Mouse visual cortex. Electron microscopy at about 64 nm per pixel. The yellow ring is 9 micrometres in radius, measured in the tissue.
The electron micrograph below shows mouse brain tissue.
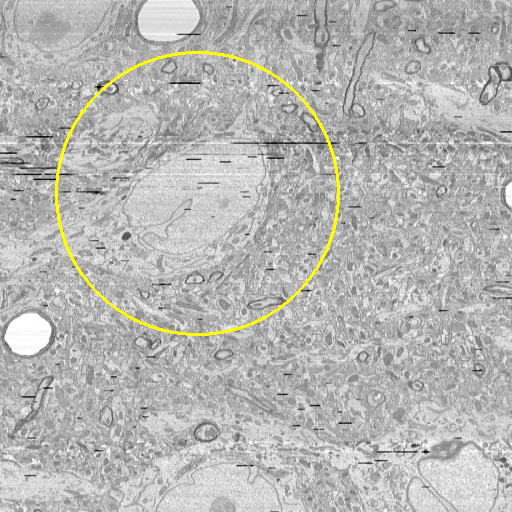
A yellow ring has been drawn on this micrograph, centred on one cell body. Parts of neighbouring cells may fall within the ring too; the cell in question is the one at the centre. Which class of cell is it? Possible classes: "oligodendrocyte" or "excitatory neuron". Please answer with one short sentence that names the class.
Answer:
In the centre of the ring sits an excitatory neuron.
